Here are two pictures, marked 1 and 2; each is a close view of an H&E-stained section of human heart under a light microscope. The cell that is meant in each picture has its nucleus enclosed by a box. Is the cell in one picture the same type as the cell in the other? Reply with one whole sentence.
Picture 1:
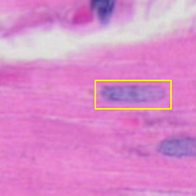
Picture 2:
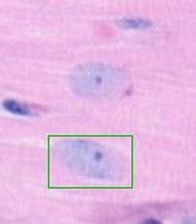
Yes, both cells are cardiomyocytes.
